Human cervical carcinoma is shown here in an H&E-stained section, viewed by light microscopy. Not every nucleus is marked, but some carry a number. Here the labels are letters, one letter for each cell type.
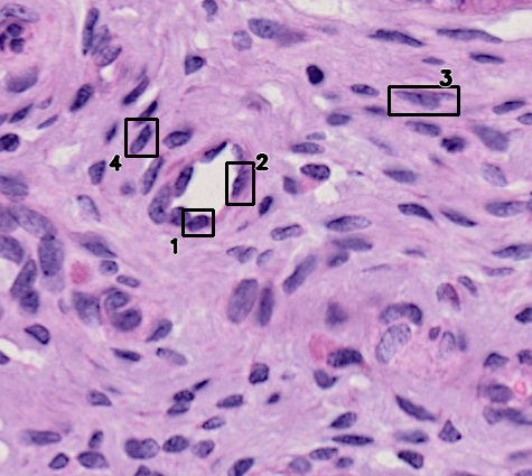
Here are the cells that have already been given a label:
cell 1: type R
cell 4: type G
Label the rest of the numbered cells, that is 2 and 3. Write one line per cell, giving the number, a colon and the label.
2: type R
3: type G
